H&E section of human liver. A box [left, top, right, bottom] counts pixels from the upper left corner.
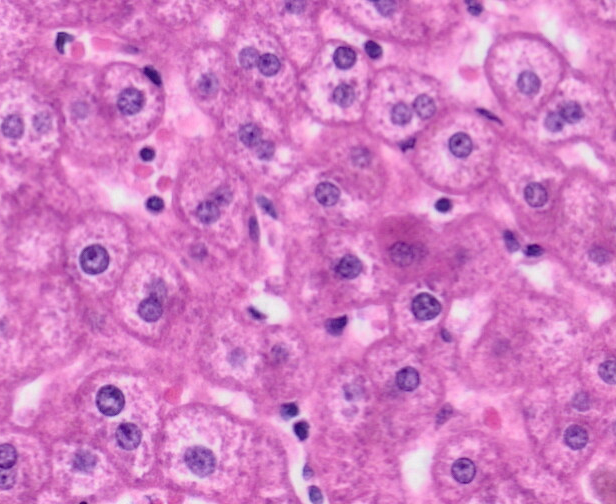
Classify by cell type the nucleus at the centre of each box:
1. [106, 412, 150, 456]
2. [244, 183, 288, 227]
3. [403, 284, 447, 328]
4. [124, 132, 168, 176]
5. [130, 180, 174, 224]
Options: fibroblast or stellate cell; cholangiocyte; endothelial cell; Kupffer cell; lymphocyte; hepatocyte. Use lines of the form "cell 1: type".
cell 1: hepatocyte
cell 2: endothelial cell
cell 3: hepatocyte
cell 4: lymphocyte
cell 5: lymphocyte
